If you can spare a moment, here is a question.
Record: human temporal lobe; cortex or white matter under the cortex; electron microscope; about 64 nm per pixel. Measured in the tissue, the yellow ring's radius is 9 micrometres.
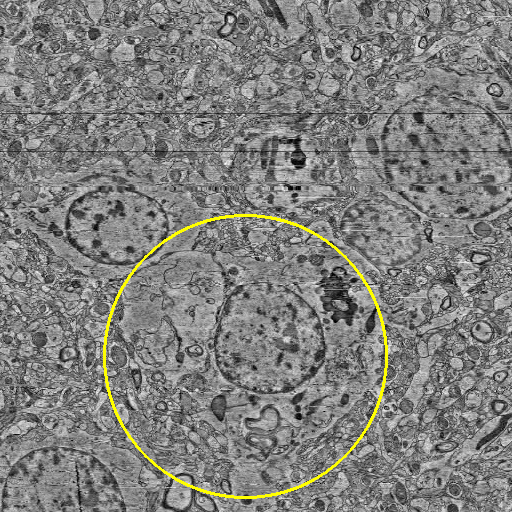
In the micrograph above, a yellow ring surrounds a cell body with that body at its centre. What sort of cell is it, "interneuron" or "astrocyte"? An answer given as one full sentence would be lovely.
Centred inside the yellow ring, the cell body shown belongs to an astrocyte in this micrograph.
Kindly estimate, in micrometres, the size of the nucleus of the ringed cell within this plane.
In this plane, roughly 7 micrometres across.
